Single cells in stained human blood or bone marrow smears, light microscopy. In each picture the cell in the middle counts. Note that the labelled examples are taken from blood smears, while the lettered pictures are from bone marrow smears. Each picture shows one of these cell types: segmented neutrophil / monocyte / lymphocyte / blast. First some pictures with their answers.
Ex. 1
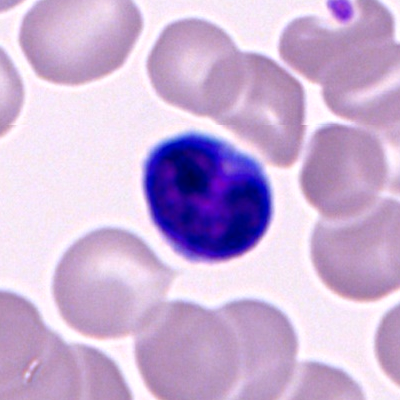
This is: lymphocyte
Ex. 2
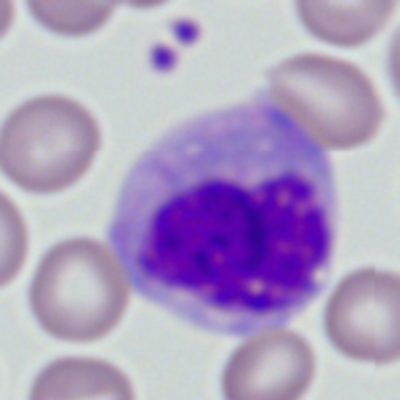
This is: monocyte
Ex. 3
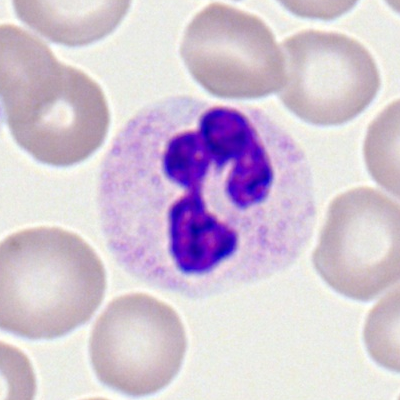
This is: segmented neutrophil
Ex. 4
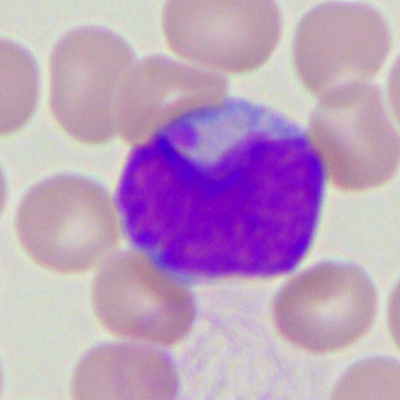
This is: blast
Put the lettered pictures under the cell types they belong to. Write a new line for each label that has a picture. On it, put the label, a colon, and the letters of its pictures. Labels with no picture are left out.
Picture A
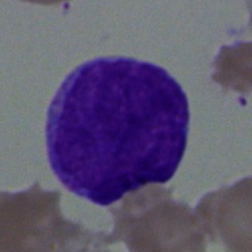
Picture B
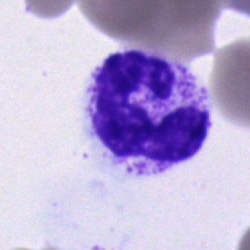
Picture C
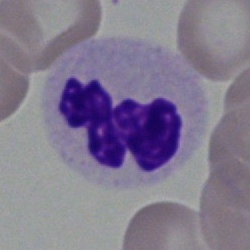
segmented neutrophil: B, C
blast: A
